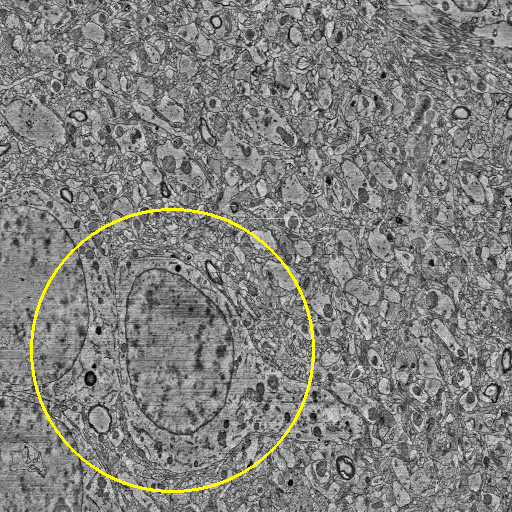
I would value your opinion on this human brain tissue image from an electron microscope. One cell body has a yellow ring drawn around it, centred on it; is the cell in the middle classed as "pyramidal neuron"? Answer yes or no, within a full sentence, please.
Yes, I would class the cell in the middle of the ring as that kind.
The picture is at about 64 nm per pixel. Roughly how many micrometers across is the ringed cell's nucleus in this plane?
About 11 by 7 micrometres in this plane; clearly longer than it is wide.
